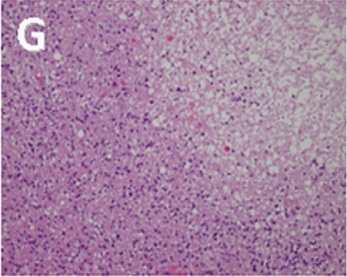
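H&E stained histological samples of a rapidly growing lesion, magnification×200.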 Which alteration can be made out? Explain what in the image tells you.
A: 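The lower left part is crowded with dark nuclei. The upper right part is pale and full of small clear vacuoles with few nuclei.
Conclusion: mixed regions of tumor and necrosis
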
